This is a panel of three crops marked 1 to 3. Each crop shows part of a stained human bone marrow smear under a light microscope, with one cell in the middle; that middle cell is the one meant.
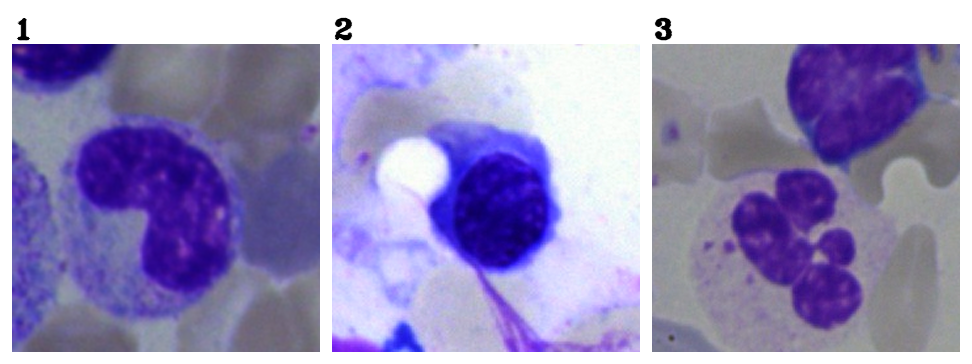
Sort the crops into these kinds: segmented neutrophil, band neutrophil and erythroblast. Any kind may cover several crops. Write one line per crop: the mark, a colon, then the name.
1: band neutrophil
2: erythroblast
3: segmented neutrophil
